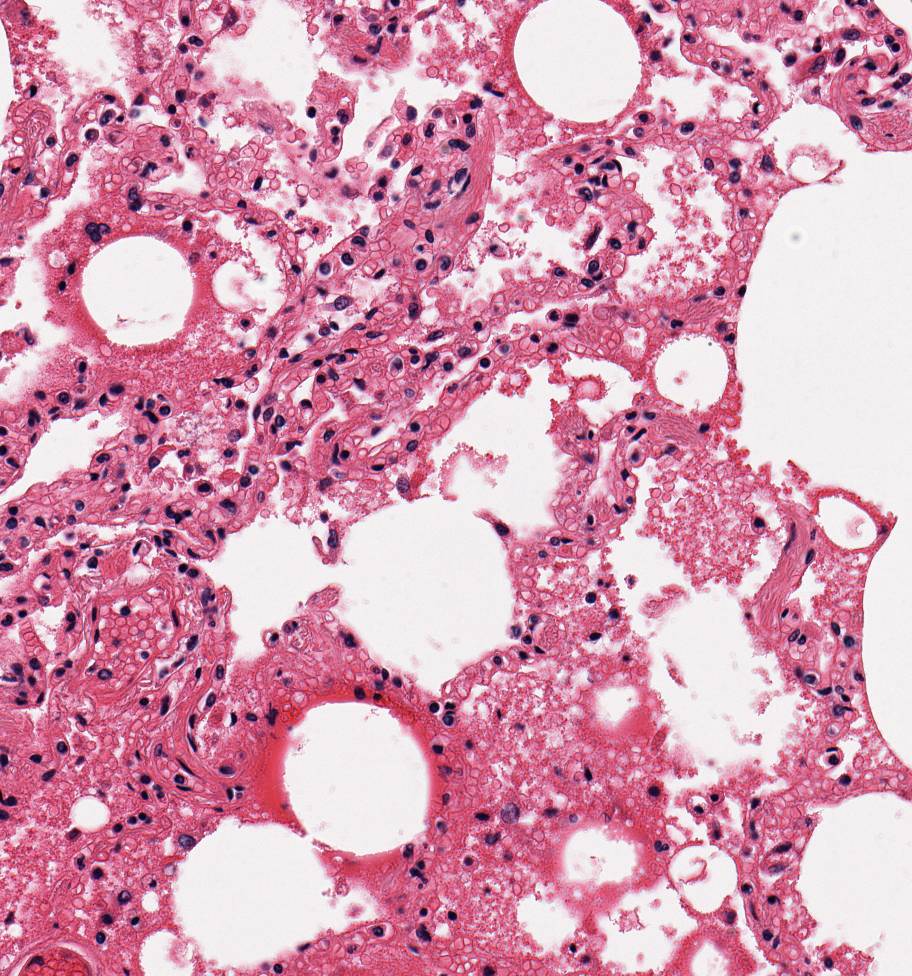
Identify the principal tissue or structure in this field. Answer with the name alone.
alveolus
